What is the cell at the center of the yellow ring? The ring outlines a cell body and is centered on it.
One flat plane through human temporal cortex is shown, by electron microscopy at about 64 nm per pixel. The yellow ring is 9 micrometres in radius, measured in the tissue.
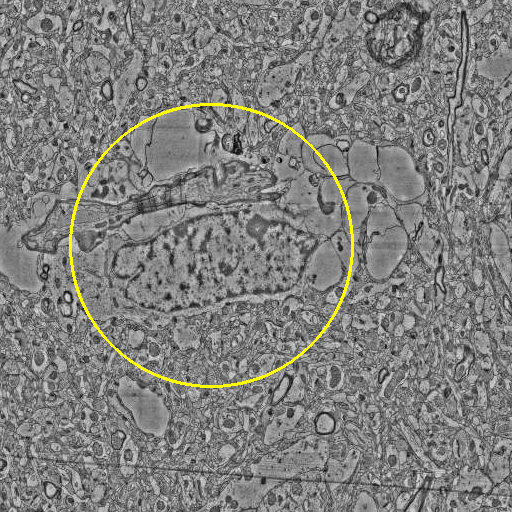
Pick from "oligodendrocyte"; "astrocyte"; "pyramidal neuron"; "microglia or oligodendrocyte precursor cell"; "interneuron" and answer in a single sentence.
The yellow ring is centered on a microglial cell or oligodendrocyte precursor cell.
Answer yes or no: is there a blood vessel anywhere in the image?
Yes.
